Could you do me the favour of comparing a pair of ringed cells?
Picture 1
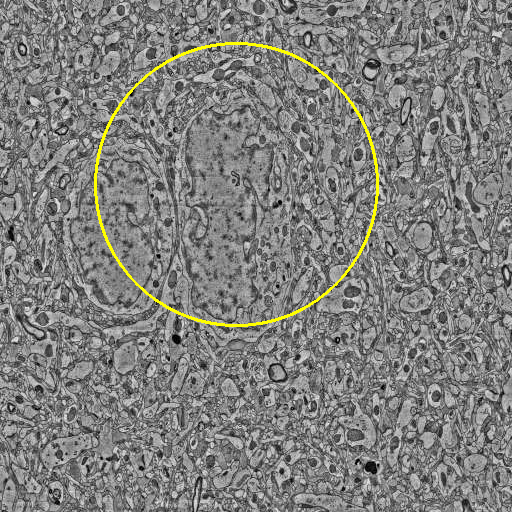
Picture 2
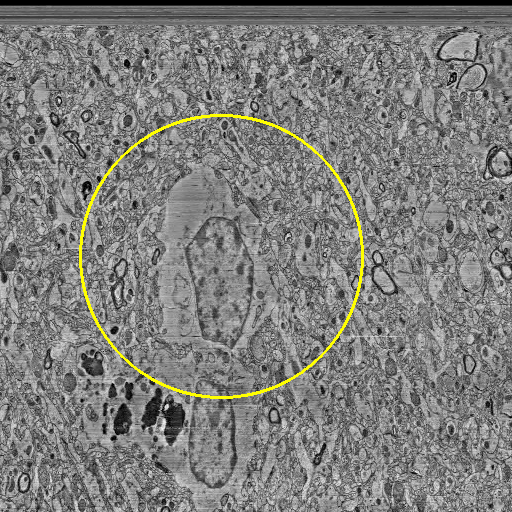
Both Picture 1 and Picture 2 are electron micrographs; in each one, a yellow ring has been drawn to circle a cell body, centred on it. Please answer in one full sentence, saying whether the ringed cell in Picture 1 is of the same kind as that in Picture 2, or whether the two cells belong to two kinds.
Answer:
The ringed cells in Picture 1 and Picture 2 belong to two kinds.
